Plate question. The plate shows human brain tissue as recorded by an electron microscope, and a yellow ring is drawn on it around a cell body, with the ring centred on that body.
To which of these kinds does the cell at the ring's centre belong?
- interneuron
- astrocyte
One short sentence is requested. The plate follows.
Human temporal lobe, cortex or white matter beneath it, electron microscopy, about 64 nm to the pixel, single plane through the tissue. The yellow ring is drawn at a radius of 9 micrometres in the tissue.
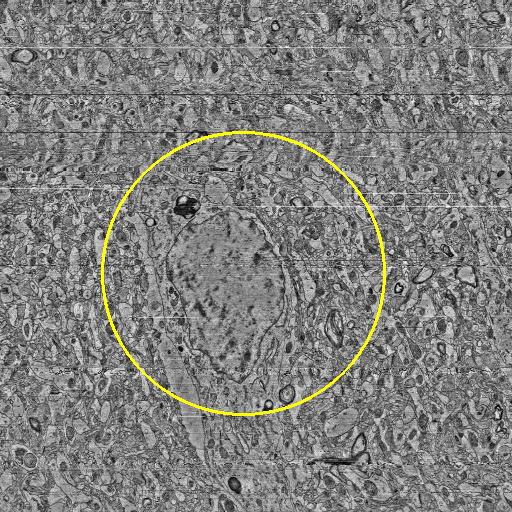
The cell at the ring's centre is an interneuron.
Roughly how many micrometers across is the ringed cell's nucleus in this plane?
About 11 by 7 micrometers for the nucleus, in this plane.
